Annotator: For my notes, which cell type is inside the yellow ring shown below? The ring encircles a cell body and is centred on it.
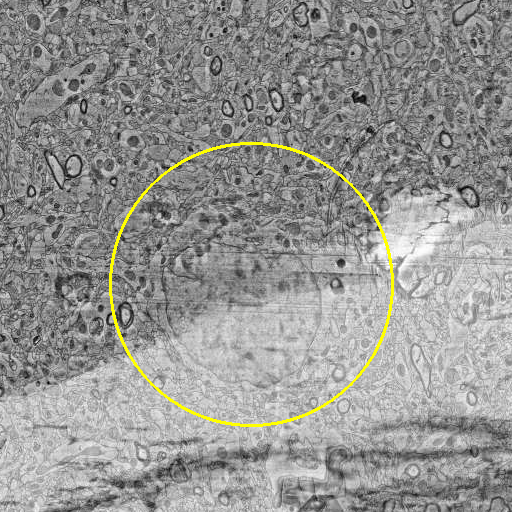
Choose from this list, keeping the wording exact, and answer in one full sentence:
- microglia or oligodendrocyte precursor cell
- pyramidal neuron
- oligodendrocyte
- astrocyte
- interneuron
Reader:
At the centre of the yellow ring there is an interneuron, as shown in the picture.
